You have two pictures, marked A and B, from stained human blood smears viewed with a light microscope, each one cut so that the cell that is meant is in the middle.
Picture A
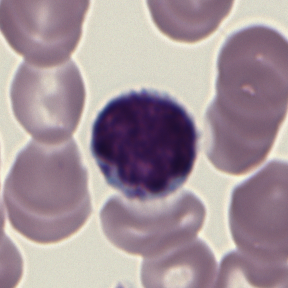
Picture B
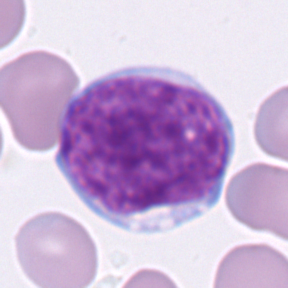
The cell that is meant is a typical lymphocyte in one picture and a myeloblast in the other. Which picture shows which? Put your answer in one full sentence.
It is picture A that shows a typical lymphocyte, and picture B that shows a myeloblast.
